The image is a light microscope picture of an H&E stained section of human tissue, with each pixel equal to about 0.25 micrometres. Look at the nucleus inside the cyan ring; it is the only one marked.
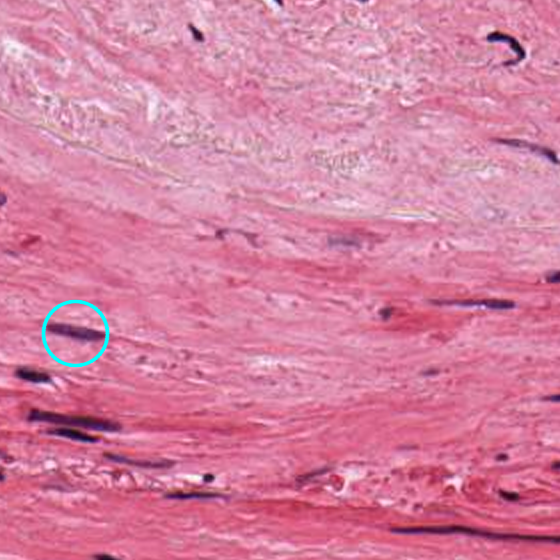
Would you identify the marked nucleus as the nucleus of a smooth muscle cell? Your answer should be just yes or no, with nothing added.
yes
